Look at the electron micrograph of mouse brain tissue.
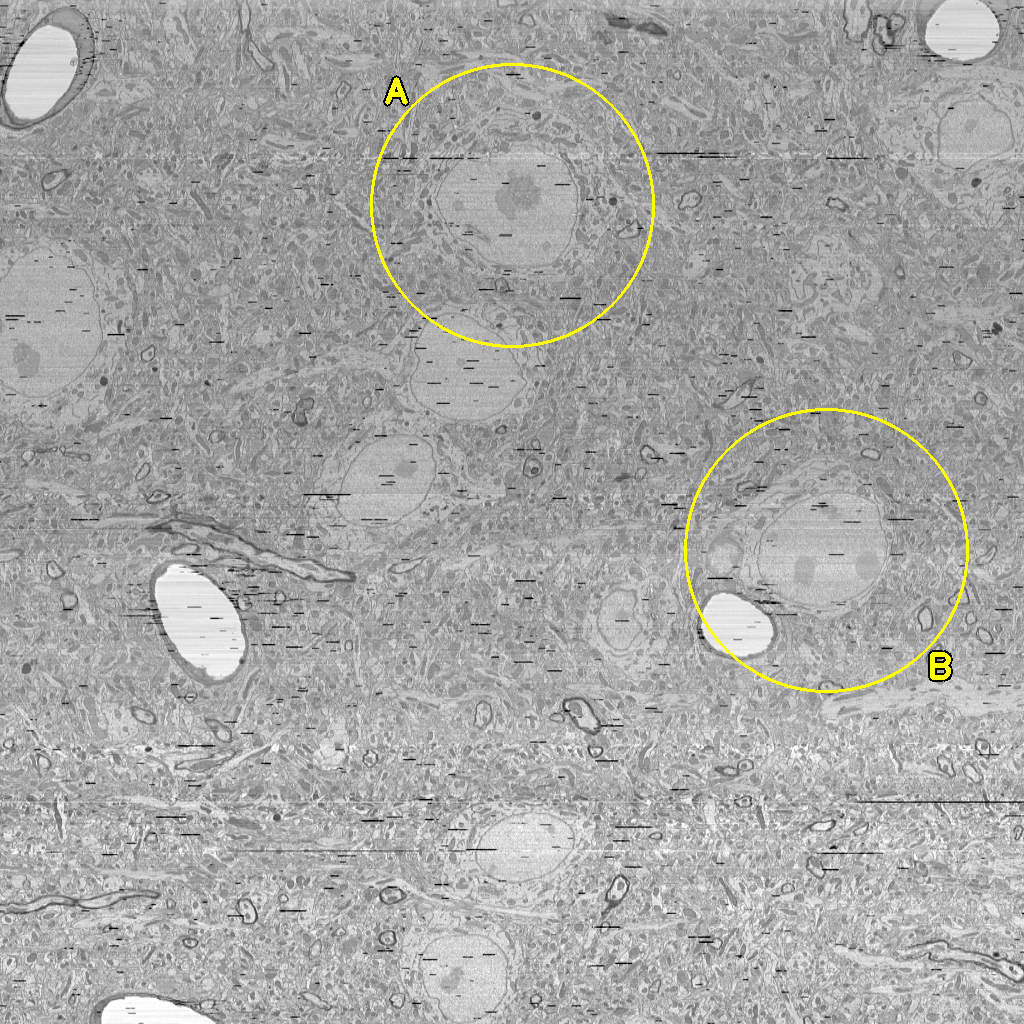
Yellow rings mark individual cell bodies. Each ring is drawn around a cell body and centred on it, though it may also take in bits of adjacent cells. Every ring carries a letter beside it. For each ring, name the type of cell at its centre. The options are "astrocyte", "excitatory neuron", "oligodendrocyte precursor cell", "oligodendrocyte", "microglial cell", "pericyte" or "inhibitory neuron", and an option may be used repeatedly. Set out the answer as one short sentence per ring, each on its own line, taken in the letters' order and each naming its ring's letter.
Ring A is drawn around an inhibitory neuron.
Ring B is drawn around an excitatory neuron.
